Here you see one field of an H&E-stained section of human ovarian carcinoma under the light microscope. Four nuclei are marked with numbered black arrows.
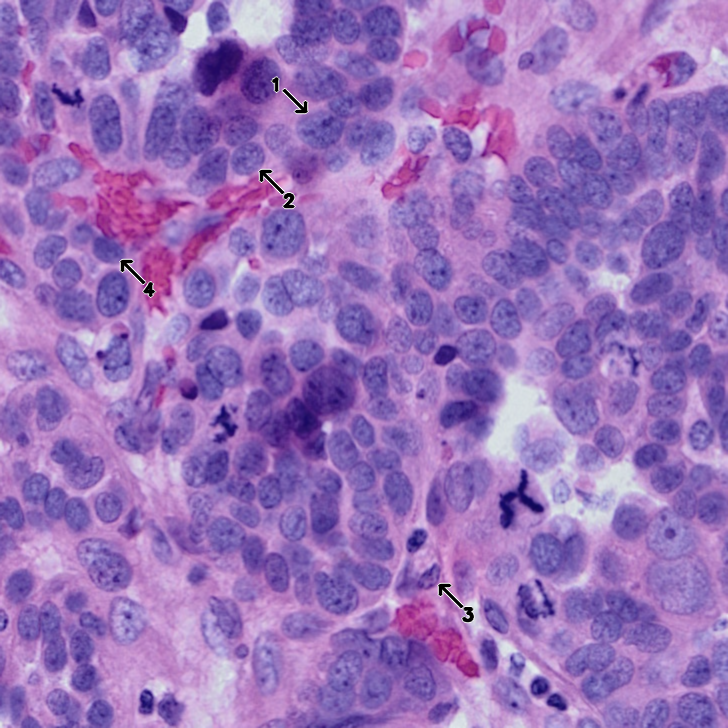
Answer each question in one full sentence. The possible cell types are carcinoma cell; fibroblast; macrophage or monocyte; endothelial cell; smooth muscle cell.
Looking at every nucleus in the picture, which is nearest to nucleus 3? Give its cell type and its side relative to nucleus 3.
It is a macrophage or monocyte, whose nucleus lies to the left of nucleus 3.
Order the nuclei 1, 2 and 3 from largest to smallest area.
Going from the biggest nucleus down to the smallest gives 1, 2, 3.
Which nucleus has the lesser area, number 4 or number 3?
Nucleus 3 is the smaller one; nucleus 4 covers about 2.5 times its area.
